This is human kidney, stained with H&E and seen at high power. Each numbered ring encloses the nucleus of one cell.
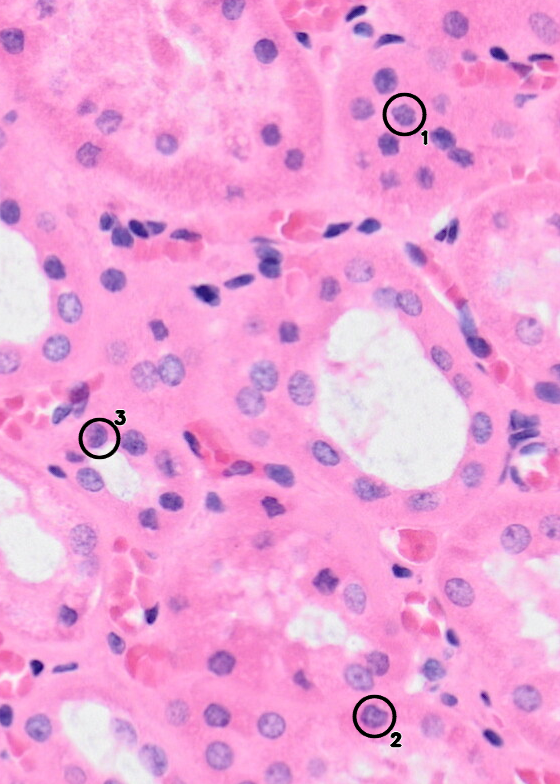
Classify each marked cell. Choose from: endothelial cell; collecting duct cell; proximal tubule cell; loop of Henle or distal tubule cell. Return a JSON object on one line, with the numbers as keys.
{"1": "loop of Henle or distal tubule cell", "2": "proximal tubule cell", "3": "loop of Henle or distal tubule cell"}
